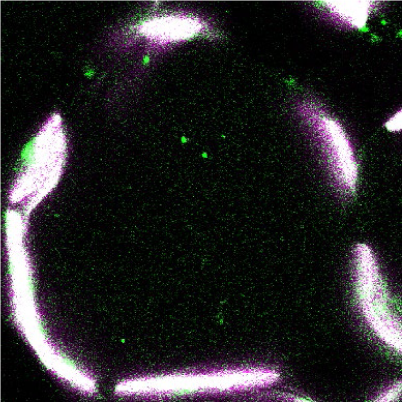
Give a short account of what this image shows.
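The chloroplasts appear white where the green and magenta overlap, and they follow the curve of the cell periphery. Apart from the chloroplasts there are scattered small green dots in the large, dark cell interior.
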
